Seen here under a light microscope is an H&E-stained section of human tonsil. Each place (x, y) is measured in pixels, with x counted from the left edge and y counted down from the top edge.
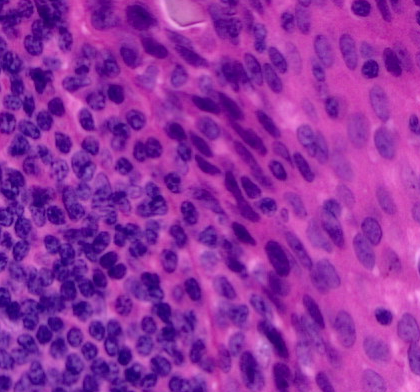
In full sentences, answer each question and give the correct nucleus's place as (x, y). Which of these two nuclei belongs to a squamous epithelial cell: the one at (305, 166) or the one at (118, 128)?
The nucleus at (305, 166) is assigned to a squamous epithelial cell.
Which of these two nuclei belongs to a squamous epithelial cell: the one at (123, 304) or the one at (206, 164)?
The nucleus located at (206, 164) is the one held within a squamous epithelial cell.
